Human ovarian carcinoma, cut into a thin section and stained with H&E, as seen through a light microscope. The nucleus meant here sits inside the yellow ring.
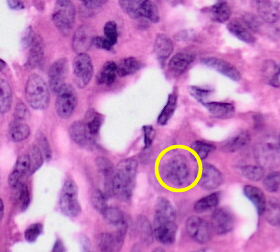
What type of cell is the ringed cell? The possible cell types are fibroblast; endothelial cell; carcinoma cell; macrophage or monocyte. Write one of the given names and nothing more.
carcinoma cell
